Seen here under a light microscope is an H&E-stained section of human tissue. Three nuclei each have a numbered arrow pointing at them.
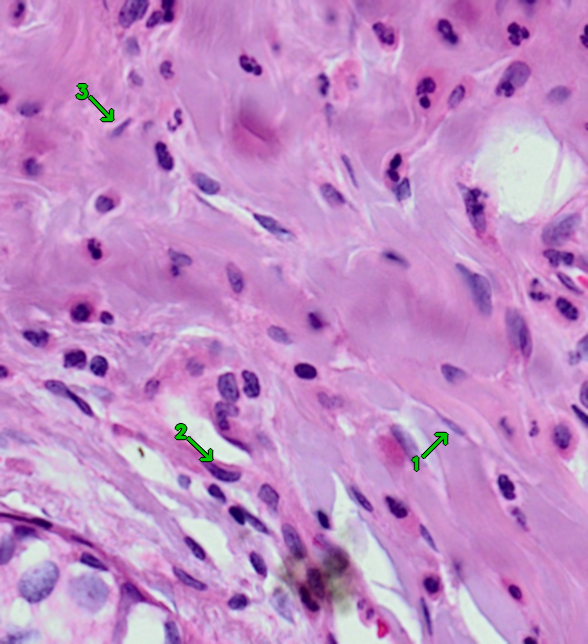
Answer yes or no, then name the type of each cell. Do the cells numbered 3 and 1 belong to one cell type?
Yes, of the numbered cells, 3 and 1 are both fibroblasts.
